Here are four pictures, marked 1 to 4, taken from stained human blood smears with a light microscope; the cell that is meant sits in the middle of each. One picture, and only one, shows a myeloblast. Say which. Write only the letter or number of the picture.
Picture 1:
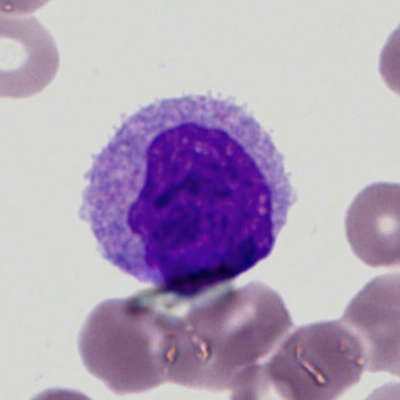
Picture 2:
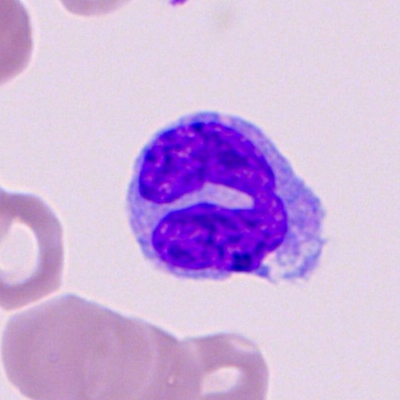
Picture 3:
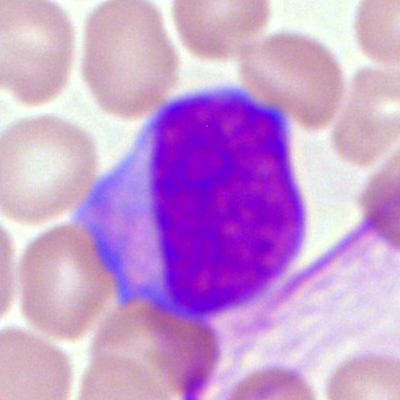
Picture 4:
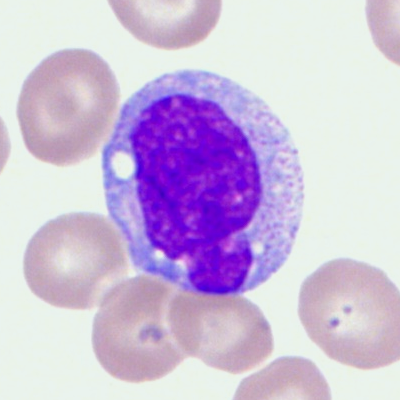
3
